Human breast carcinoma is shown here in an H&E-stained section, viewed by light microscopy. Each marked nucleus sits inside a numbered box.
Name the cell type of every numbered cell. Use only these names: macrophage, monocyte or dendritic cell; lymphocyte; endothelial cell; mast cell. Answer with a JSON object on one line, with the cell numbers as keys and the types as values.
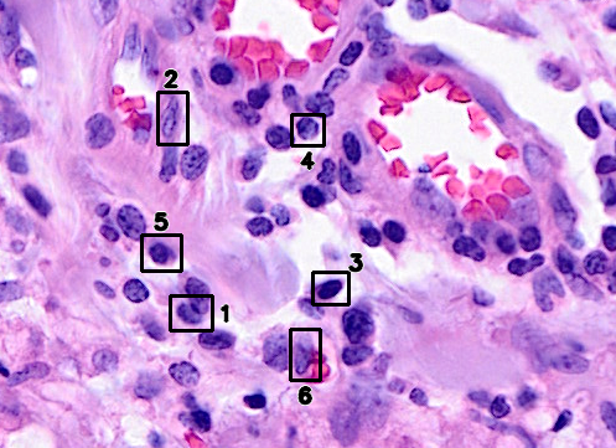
{"1": "lymphocyte", "2": "endothelial cell", "3": "lymphocyte", "4": "lymphocyte", "5": "lymphocyte", "6": "endothelial cell"}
